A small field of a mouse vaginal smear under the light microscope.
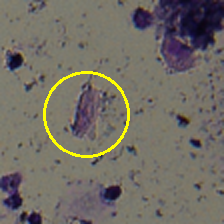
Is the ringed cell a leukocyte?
No, it is a cornified epithelial cell.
